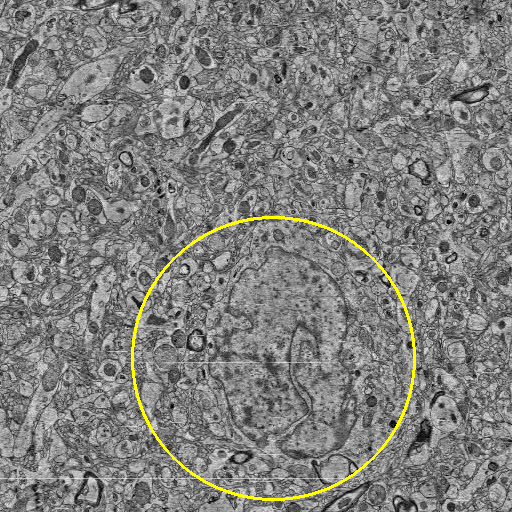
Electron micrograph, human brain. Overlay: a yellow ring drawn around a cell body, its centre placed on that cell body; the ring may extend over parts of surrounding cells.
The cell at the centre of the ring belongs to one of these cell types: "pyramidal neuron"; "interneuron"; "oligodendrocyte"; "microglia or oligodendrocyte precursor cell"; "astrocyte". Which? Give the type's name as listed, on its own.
interneuron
